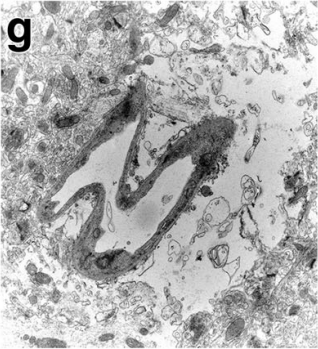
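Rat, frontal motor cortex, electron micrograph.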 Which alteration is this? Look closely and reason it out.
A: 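The vessel wall is folded into a zigzag shape. Pale, debris-filled space surrounds the vessel. The answer: irregular and collapsed.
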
